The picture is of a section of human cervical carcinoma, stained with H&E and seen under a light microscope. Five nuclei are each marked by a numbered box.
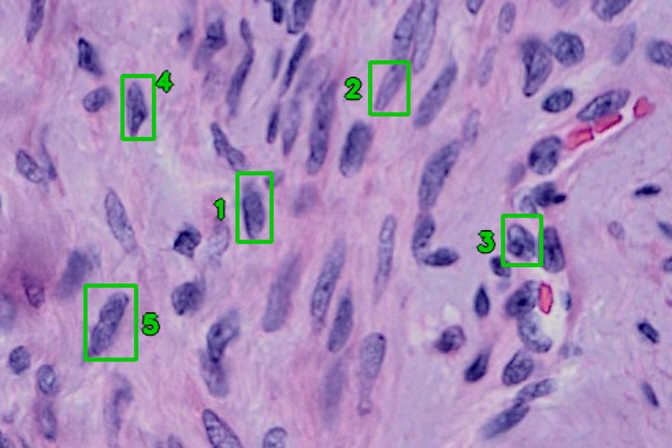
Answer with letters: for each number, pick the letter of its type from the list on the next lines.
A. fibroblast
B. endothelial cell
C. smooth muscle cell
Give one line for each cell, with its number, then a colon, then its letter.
1: A
2: C
3: B
4: A
5: A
